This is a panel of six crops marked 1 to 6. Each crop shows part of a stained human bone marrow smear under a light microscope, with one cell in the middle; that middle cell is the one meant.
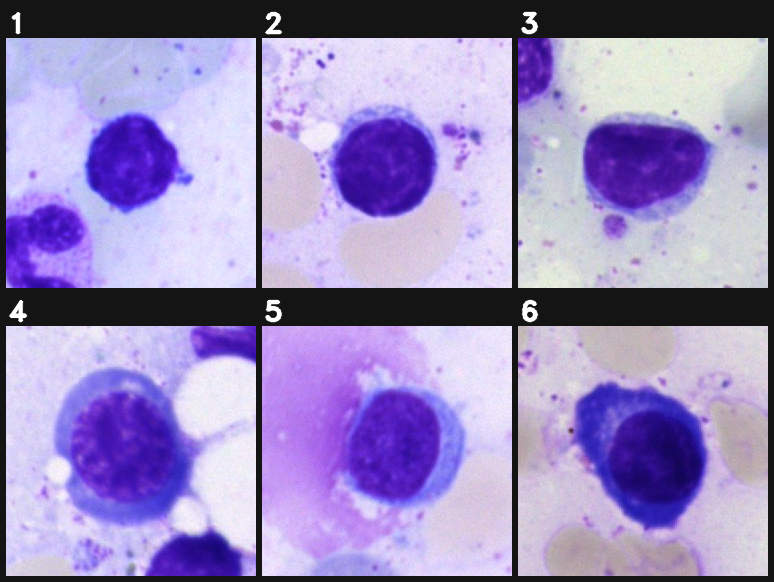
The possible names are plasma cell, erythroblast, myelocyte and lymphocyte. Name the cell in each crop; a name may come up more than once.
1: lymphocyte
2: lymphocyte
3: lymphocyte
4: erythroblast
5: lymphocyte
6: plasma cell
